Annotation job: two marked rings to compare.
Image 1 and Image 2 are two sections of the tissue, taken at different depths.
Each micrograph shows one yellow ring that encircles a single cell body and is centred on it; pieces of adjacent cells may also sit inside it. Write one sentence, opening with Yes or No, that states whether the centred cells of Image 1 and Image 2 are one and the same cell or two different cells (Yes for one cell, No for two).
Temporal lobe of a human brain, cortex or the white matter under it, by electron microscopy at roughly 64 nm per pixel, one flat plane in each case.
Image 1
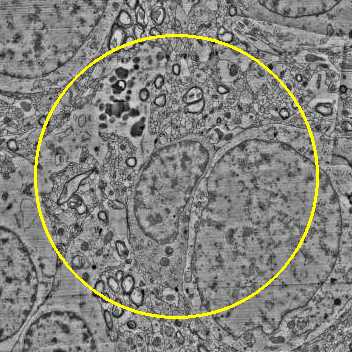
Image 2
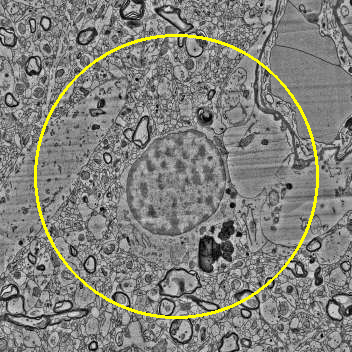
No, a different cell sits inside each of the two rings.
